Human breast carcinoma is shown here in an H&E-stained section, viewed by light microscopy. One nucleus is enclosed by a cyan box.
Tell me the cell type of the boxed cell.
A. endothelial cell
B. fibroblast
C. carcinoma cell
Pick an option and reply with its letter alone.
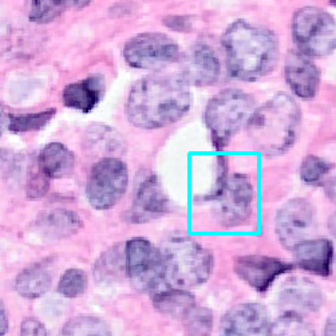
C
